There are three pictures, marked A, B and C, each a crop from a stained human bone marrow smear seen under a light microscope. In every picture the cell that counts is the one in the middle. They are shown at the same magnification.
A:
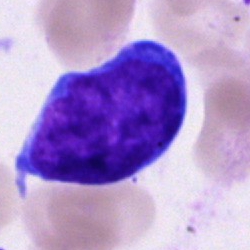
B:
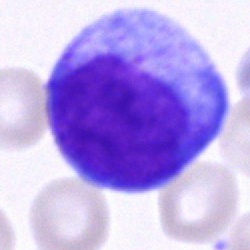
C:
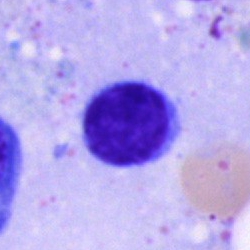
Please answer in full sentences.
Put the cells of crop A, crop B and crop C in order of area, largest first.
Largest first: B, A, C.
